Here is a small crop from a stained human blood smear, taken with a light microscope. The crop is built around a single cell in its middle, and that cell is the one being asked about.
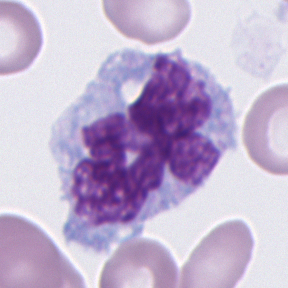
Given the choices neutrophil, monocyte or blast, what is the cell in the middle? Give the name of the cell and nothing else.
monocyte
